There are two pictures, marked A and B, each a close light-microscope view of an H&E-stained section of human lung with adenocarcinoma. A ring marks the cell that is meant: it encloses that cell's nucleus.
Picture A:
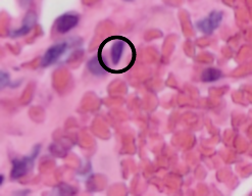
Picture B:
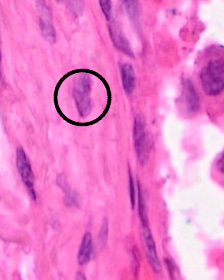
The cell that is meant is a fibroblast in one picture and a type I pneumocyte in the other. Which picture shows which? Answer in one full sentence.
Picture B shows a fibroblast, while picture A shows a type I pneumocyte.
